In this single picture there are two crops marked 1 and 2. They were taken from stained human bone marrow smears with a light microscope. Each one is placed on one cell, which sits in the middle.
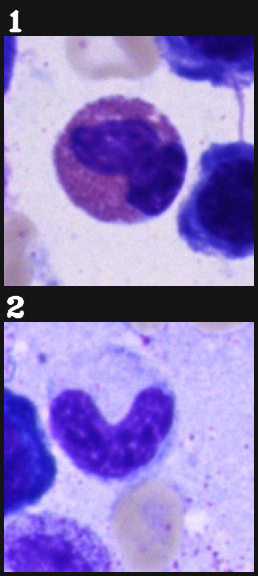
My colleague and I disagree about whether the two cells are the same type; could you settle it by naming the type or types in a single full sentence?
No, crop 1 shows an eosinophil, and the cell in crop 2 is a band neutrophil.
